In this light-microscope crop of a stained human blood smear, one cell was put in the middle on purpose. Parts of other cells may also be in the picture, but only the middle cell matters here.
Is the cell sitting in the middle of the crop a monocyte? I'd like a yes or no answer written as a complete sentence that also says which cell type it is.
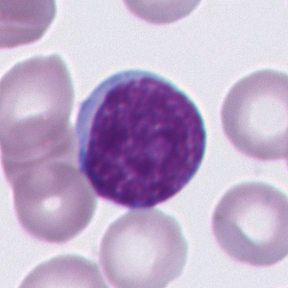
No, this is not a monocyte at all; the cell in the middle is a myeloblast.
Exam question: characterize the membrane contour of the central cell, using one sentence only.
The outline traces a smooth curve with no projections along it.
